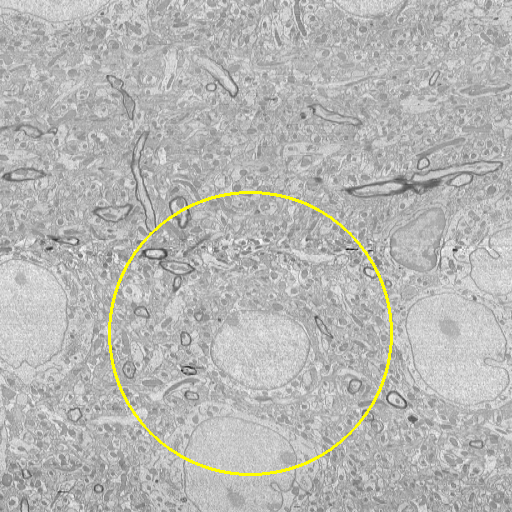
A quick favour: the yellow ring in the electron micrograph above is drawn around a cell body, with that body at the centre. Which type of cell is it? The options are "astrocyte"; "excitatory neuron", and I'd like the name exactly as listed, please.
astrocyte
